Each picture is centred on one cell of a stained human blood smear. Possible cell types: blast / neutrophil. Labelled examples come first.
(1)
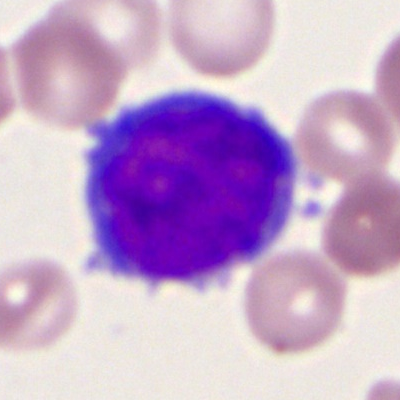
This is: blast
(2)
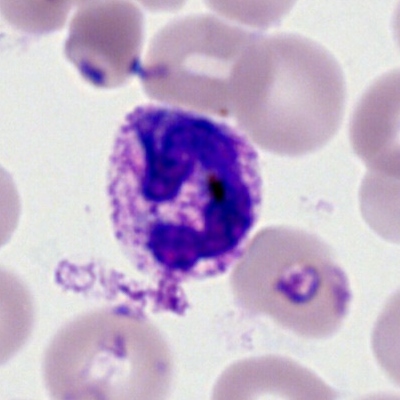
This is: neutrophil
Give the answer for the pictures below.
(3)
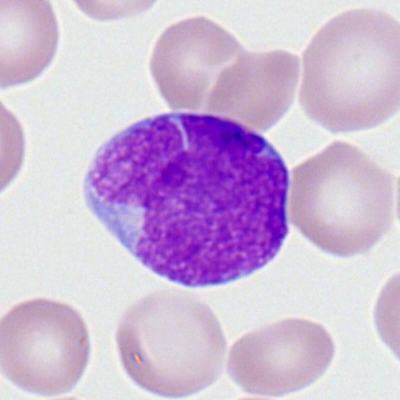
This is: blast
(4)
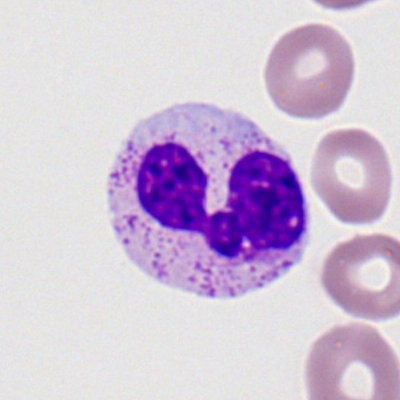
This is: neutrophil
